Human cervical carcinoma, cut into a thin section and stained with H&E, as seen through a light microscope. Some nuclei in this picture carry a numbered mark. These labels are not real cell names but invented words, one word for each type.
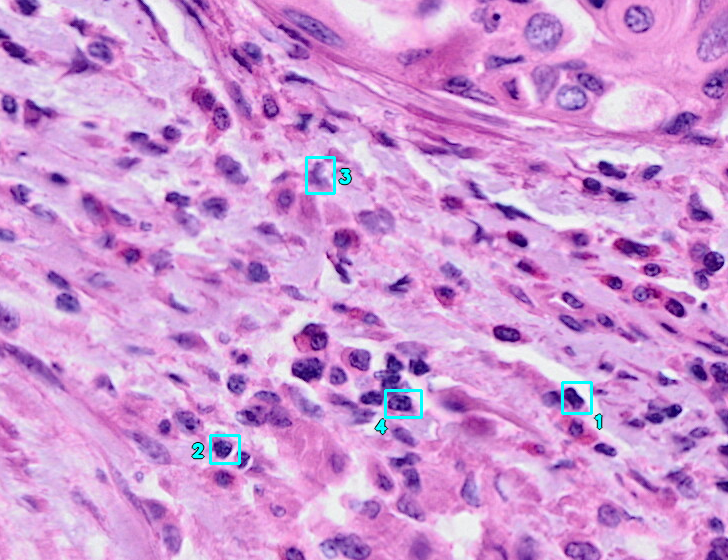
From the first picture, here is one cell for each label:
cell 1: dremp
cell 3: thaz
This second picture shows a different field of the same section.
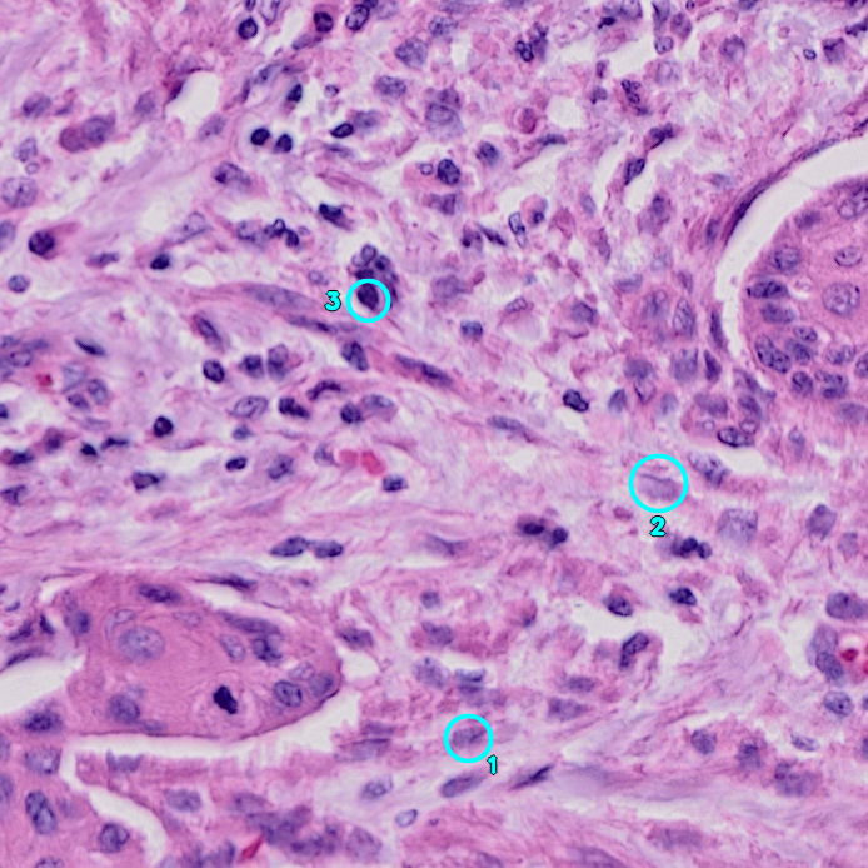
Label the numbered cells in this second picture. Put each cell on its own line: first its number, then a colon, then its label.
1: thaz
2: thaz
3: dremp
